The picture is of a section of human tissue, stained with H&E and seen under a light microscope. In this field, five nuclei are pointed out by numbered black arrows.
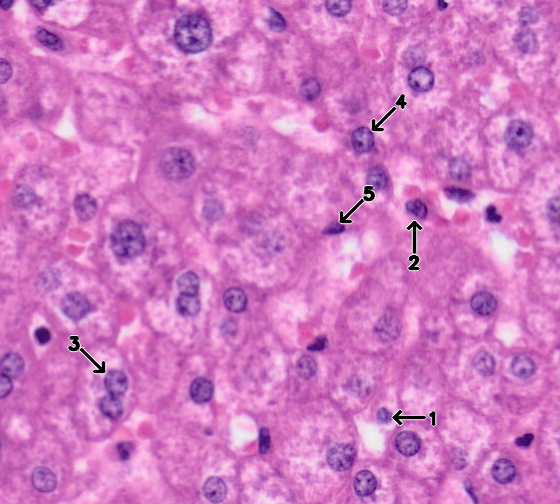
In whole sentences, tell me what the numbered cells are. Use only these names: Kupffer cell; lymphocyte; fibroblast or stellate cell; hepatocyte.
Cell 1 is a lymphocyte. Cell 2 is a Kupffer cell. Cells 3 and 4 are hepatocytes. Cell 5 is a fibroblast or stellate cell.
